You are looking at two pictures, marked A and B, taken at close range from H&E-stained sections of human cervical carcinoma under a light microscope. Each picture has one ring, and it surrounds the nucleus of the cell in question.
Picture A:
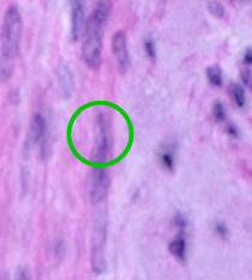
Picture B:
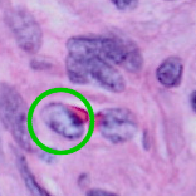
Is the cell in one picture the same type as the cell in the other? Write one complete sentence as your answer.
No, they differ: the cell is a smooth muscle cell in picture A and an endothelial cell in picture B.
